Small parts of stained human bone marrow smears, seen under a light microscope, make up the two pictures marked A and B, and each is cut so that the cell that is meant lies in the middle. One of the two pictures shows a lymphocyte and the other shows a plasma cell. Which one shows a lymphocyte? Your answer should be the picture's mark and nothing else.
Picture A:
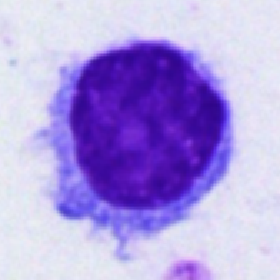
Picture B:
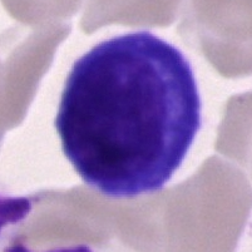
A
